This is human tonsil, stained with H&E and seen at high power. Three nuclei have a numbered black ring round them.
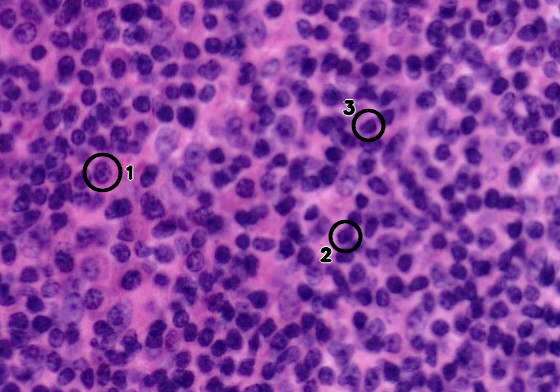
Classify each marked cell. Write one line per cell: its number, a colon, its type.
1: plasma cell
2: small lymphocyte
3: small lymphocyte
